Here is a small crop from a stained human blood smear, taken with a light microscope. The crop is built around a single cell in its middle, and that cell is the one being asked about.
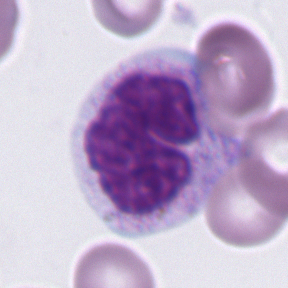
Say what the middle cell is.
band neutrophil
